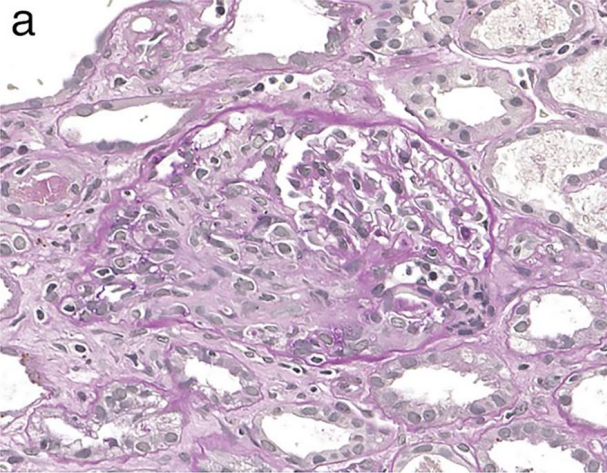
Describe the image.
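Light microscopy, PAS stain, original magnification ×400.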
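A glomerulus lies among renal tubules, with a crescent-shaped mass of cells and pale fibrous matrix filling Bowman's space. The crescent occupies the left and lower part of the capsule and presses the capillary tuft toward the right. Its cells have oval nuclei set in a pale pink-grey matrix. Bowman's capsule is seen as a magenta-stained line around tuft and crescent. Surrounding tubules are lined by cuboidal epithelium with round nuclei and have open lumens.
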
